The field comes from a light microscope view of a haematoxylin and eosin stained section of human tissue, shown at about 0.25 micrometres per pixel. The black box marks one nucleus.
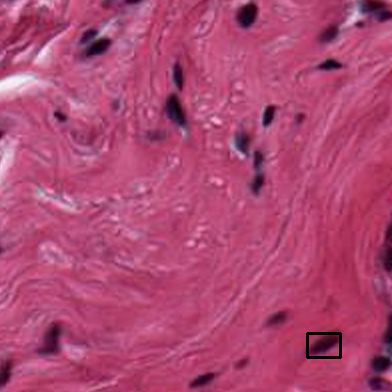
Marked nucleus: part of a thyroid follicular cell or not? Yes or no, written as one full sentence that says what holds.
No, a thyroid follicular cell does not own the marked nucleus, which belongs to a supporting cell.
